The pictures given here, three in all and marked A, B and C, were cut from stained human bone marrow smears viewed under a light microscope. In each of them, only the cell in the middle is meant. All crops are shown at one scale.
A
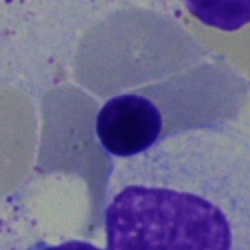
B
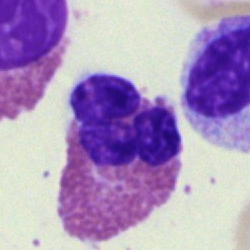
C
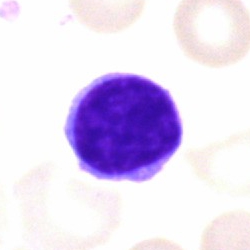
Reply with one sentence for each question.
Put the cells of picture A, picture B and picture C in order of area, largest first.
Going down, they run B, C, A.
